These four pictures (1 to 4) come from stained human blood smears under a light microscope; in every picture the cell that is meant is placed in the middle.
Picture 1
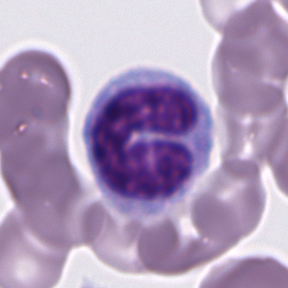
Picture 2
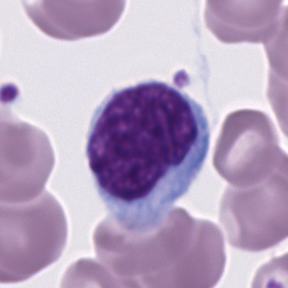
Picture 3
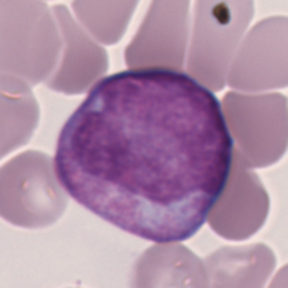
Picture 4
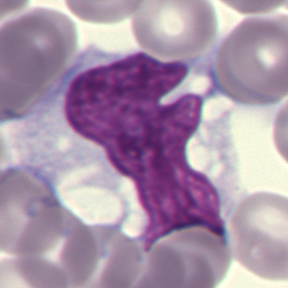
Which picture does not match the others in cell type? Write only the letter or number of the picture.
3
